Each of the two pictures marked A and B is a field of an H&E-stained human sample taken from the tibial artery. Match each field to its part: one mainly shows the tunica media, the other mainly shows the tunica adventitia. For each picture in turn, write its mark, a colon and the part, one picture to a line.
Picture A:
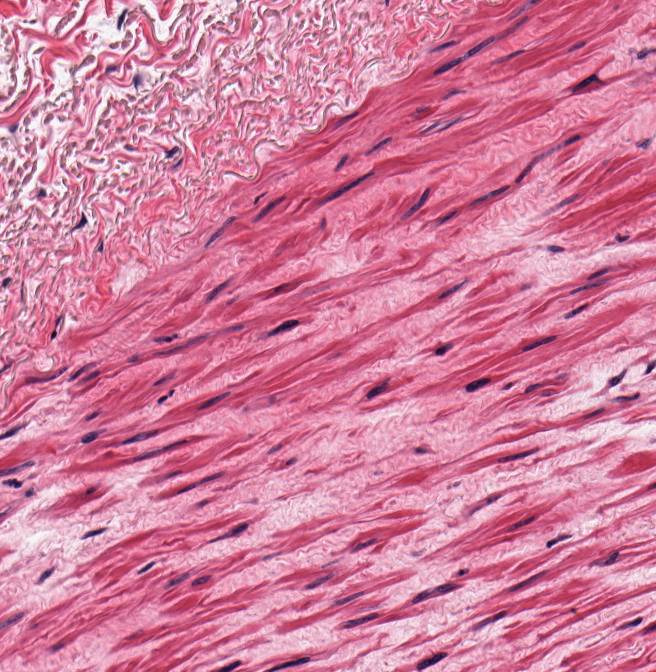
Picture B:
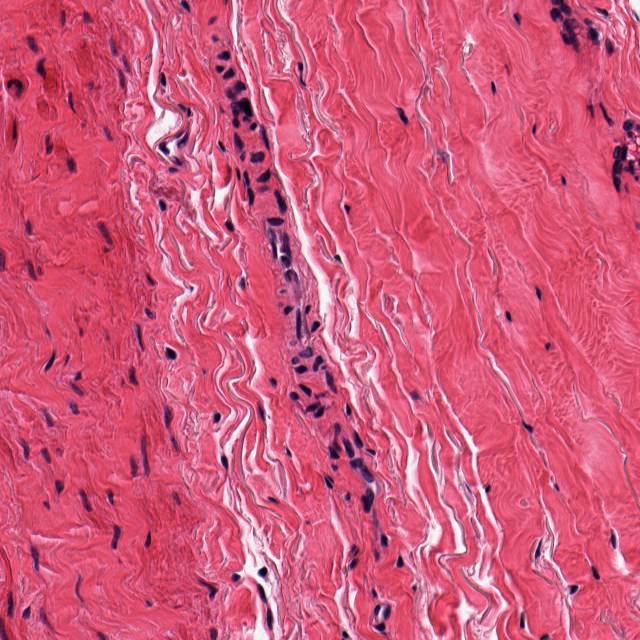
A: tunica media
B: tunica adventitia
